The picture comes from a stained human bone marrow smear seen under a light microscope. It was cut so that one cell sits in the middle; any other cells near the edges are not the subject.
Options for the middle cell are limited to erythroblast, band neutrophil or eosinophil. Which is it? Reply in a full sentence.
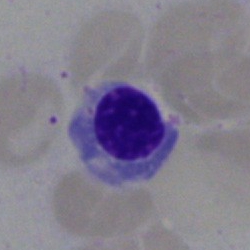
In short, the cell at the center is an erythroblast.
